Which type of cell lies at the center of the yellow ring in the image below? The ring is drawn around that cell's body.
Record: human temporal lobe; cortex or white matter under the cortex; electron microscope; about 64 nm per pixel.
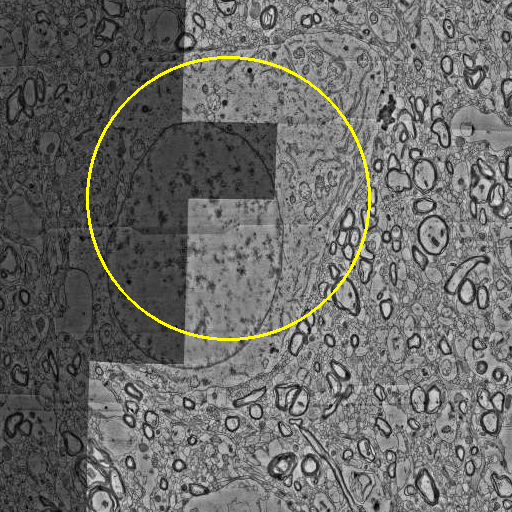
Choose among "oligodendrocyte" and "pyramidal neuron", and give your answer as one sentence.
The cell body at the center belongs to a pyramidal neuron.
